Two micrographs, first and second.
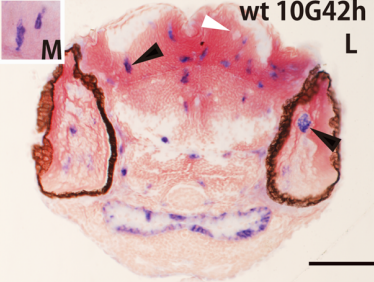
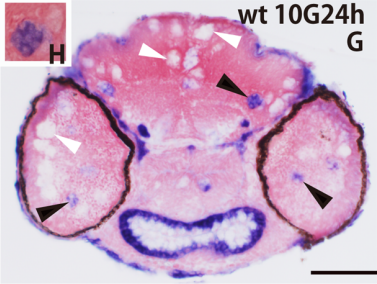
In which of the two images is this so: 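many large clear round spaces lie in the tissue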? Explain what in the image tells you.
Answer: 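The second image. First image: only few small clear spaces are seen in the brain. Second image: many large clear round spaces crowd the brain margin and retina.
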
